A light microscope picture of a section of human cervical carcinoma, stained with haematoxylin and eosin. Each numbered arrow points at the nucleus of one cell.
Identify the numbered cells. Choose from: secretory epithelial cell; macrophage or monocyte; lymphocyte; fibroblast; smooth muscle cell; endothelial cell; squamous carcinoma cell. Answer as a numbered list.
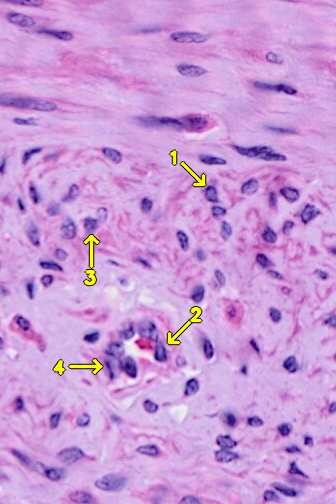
1. smooth muscle cell
2. endothelial cell
3. smooth muscle cell
4. endothelial cell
